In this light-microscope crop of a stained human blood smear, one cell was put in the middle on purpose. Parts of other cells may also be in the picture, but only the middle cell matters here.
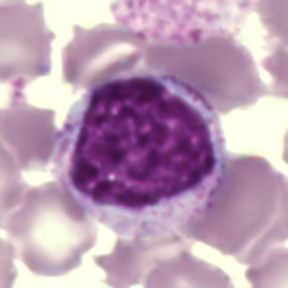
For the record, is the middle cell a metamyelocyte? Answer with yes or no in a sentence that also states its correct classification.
No, the central cell is classed as a myelocyte and not as a metamyelocyte.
